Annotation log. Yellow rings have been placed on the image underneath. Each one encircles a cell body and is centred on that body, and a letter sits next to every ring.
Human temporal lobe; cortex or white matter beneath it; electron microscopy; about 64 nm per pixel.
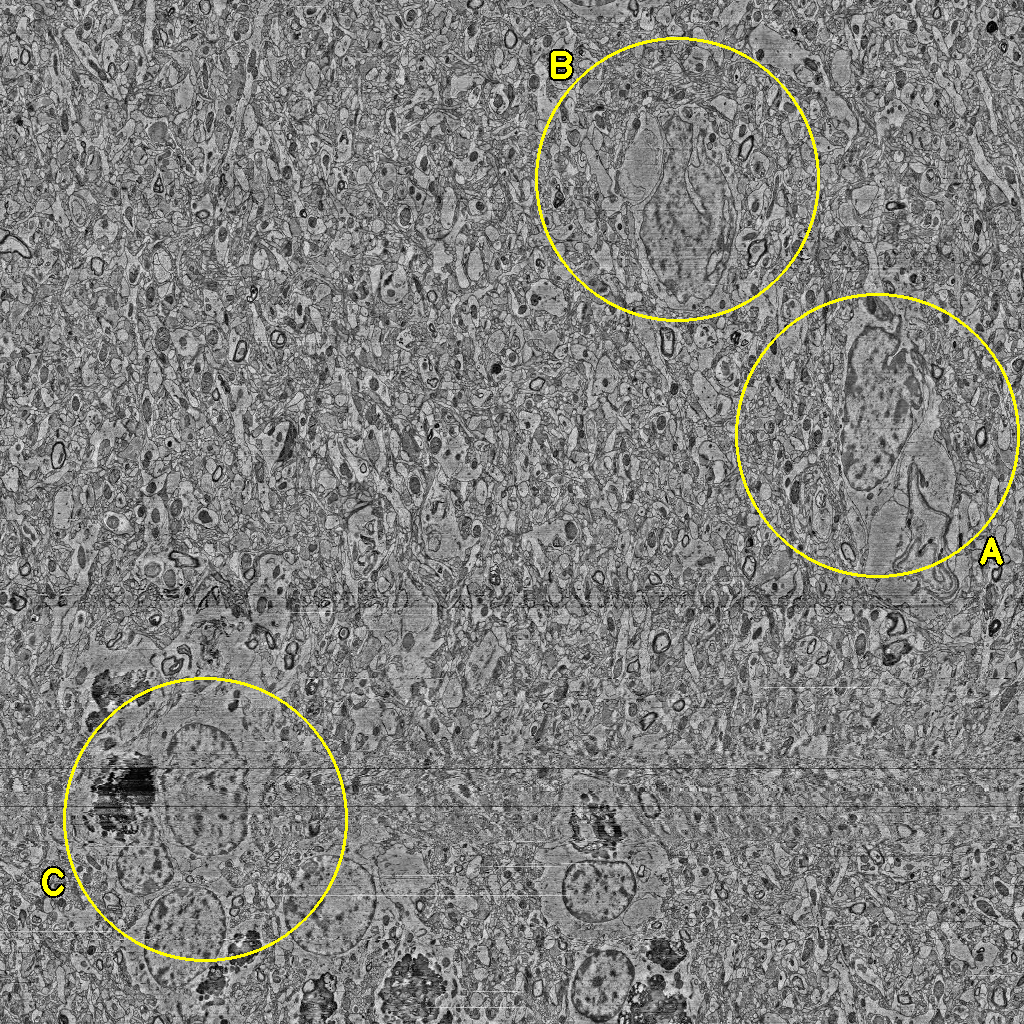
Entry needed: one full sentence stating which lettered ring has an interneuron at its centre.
The cell asked for sits at the centre of Ring B in the picture.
